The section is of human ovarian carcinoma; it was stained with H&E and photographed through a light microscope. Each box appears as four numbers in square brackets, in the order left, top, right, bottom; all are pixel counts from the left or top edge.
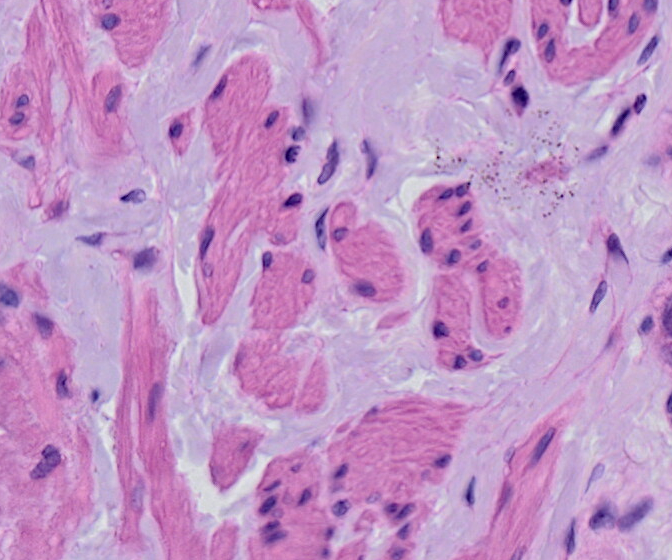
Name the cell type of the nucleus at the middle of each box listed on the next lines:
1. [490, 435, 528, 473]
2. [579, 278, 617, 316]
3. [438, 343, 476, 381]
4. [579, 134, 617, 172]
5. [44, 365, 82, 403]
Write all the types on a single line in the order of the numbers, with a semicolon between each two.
smooth muscle cell; fibroblast; smooth muscle cell; fibroblast; smooth muscle cell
